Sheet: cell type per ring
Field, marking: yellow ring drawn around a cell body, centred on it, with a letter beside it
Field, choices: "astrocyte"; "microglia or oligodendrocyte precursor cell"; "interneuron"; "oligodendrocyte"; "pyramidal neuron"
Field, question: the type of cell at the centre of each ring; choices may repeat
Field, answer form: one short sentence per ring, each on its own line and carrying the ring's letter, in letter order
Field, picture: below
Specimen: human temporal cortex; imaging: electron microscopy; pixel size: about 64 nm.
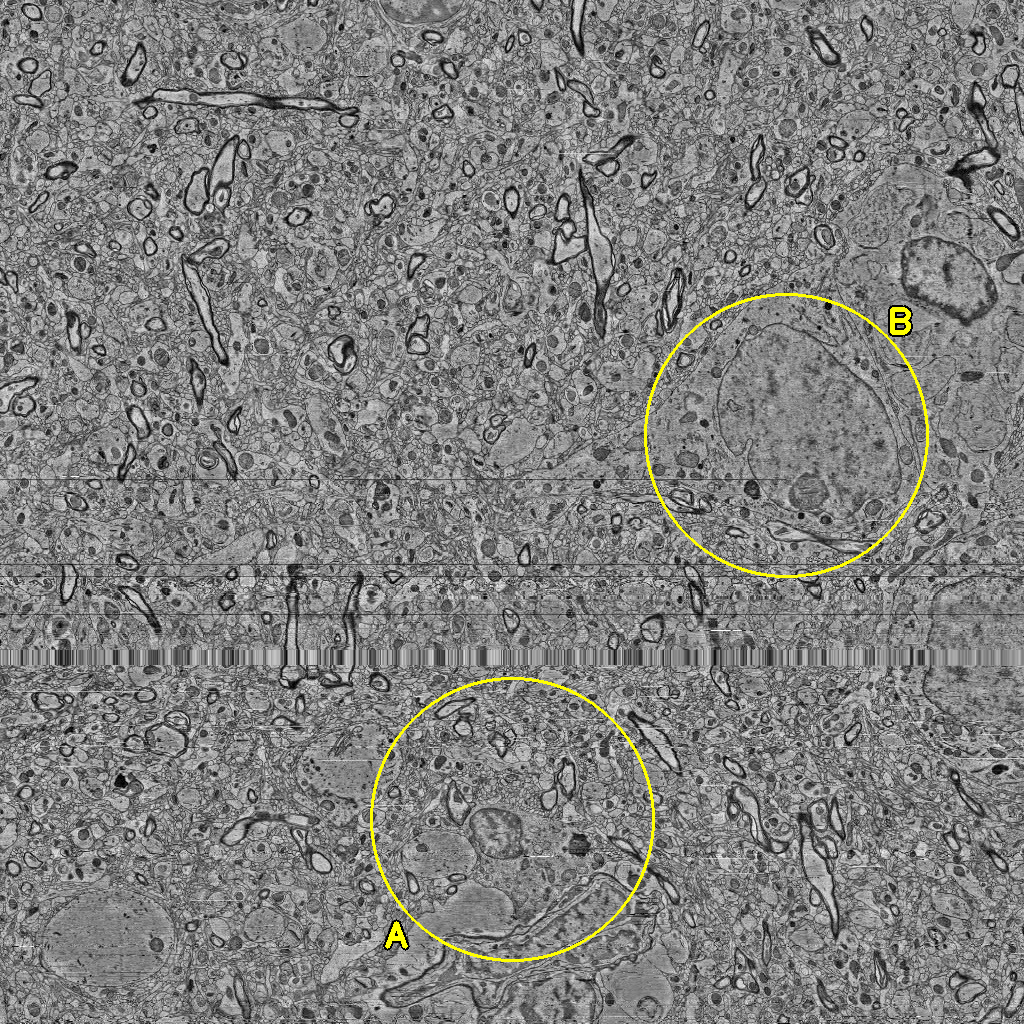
The cell body inside ring A, at its centre, is an oligodendrocyte.
The cell body inside ring B, at its centre, is a pyramidal neuron.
